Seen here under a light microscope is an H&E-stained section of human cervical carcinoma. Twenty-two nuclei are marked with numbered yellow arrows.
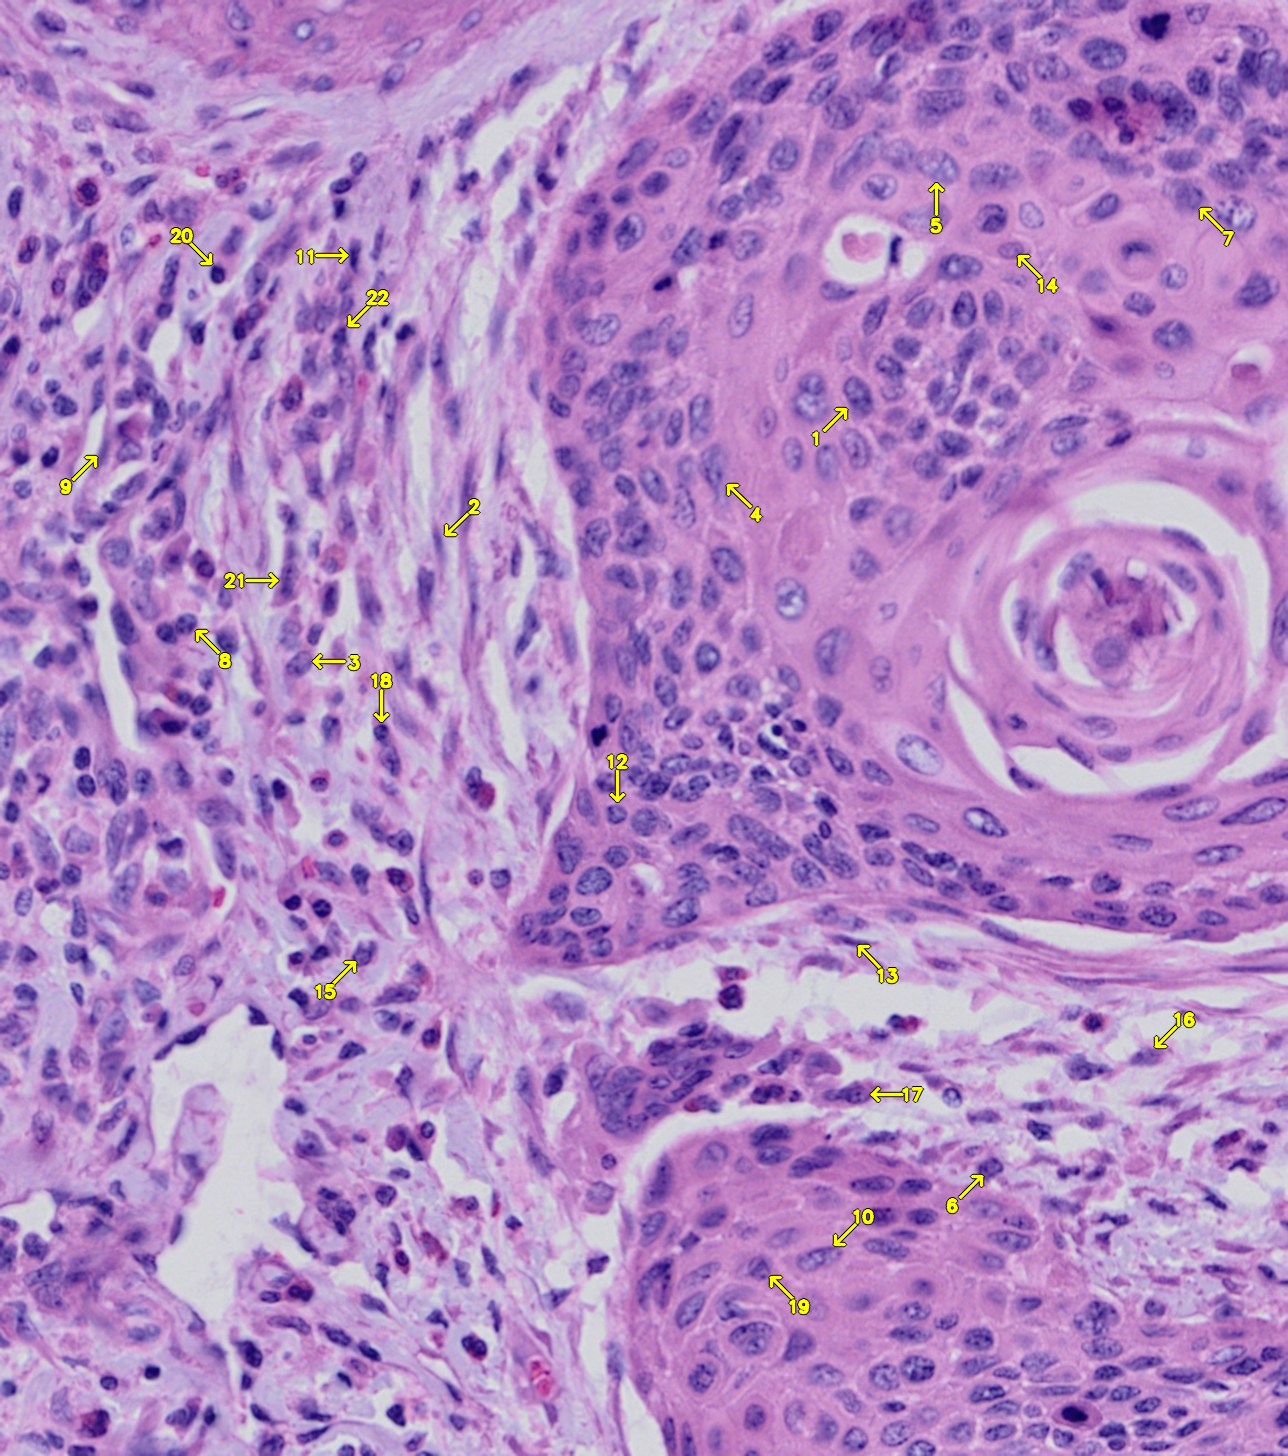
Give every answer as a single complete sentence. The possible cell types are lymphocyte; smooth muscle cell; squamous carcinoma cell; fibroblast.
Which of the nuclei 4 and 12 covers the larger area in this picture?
At about 4 times the area of nucleus 12, nucleus 4 is the larger of the two.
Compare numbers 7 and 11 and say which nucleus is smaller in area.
With nucleus 7 about 3 times its size, nucleus 11 is the smaller of the two.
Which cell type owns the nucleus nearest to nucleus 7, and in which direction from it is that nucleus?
Lying above nucleus 7, the nearest nucleus is that of a squamous carcinoma cell.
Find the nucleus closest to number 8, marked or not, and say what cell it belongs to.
Closest to number 8 lies the nucleus of a lymphocyte.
